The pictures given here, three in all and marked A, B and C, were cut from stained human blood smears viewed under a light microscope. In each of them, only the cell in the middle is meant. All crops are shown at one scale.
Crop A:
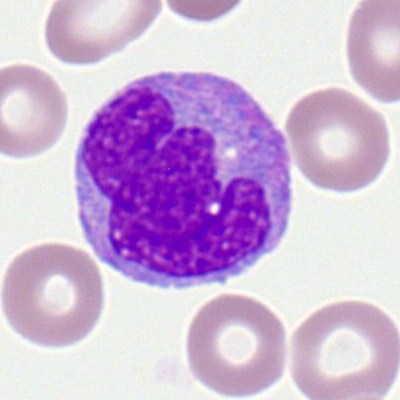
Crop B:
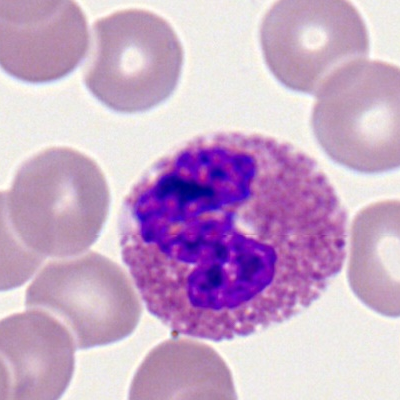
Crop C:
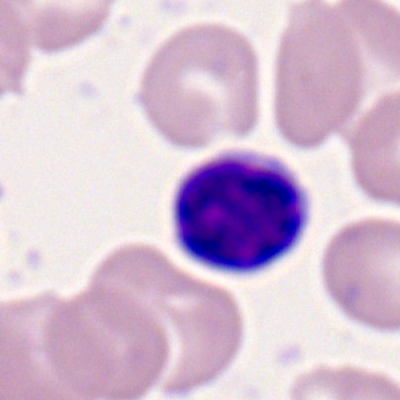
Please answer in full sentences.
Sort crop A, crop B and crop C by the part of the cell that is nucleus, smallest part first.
From the least filled to the most, the order is B, A, C.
